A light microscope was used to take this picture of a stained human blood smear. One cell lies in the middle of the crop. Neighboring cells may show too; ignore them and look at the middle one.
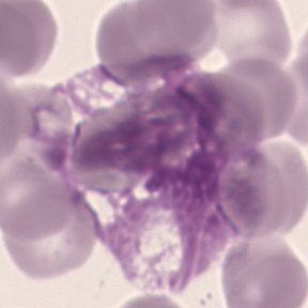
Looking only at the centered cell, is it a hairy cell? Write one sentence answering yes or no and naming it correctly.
No, wrong label: the middle cell is a smudge cell instead of a hairy cell.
